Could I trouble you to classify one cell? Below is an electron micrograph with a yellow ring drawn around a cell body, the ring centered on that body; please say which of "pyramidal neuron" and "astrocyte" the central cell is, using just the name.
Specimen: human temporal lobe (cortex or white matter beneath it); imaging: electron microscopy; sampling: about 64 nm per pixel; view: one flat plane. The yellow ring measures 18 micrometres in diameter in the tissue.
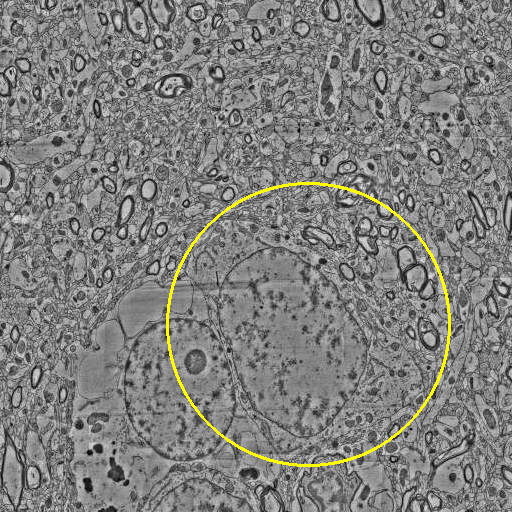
pyramidal neuron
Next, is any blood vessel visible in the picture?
No, there is no blood vessel.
